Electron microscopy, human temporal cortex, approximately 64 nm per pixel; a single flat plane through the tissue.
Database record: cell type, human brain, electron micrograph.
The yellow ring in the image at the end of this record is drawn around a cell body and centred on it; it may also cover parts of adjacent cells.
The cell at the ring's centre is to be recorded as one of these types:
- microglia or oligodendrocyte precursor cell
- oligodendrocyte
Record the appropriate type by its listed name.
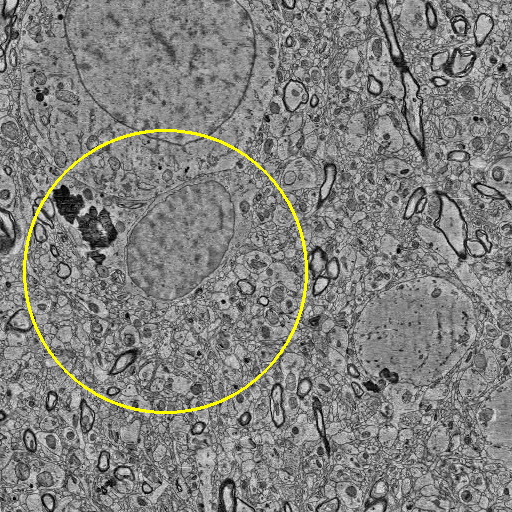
oligodendrocyte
